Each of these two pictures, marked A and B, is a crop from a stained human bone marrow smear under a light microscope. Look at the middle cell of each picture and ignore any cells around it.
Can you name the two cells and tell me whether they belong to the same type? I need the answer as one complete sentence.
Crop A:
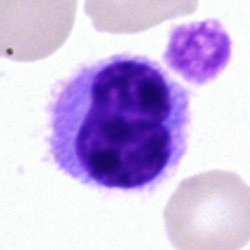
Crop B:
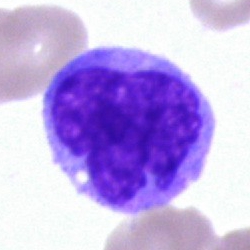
No, crop A carries a hairy cell and crop B carries a monocyte.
